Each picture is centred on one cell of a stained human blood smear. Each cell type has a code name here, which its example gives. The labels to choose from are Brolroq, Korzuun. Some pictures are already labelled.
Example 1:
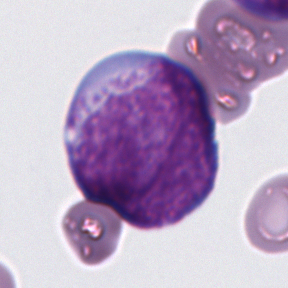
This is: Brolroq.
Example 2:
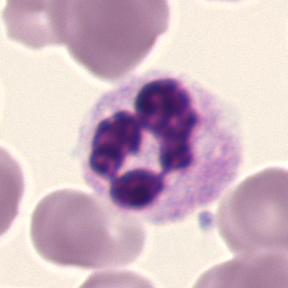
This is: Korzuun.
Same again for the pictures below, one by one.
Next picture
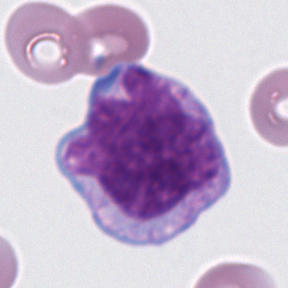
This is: Brolroq.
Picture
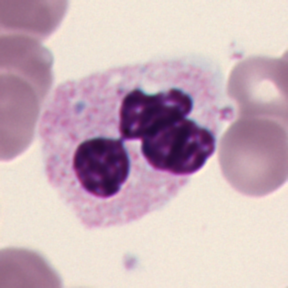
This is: Korzuun.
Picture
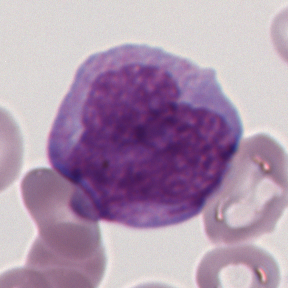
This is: Brolroq.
